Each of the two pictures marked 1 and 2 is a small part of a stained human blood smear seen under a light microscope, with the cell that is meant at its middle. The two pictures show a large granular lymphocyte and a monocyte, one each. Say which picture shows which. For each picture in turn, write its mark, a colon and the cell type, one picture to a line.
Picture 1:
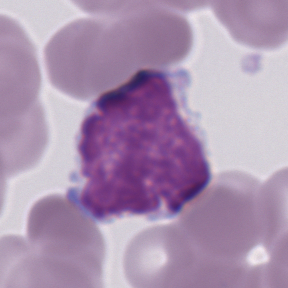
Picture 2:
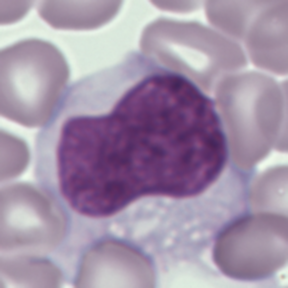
1: large granular lymphocyte
2: monocyte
